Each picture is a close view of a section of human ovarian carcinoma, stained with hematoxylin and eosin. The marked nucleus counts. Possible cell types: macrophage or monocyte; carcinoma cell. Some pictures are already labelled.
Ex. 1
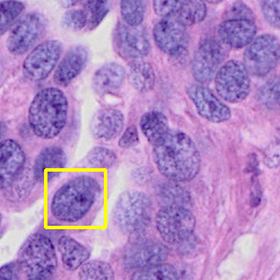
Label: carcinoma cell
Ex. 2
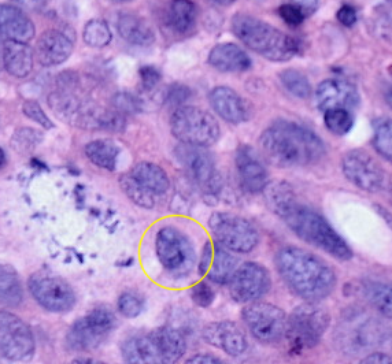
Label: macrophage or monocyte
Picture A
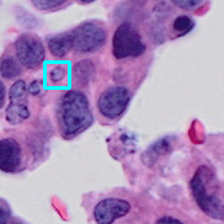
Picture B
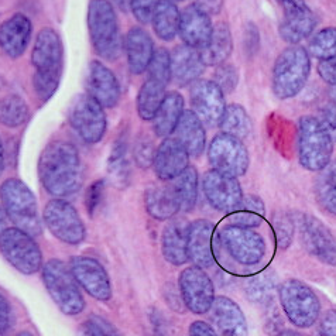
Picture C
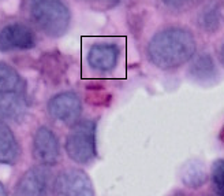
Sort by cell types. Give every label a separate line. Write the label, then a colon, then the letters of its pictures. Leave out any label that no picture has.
macrophage or monocyte: A, C
carcinoma cell: B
